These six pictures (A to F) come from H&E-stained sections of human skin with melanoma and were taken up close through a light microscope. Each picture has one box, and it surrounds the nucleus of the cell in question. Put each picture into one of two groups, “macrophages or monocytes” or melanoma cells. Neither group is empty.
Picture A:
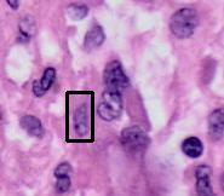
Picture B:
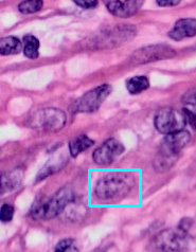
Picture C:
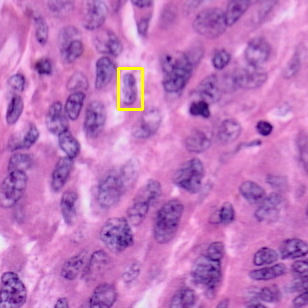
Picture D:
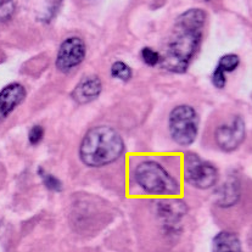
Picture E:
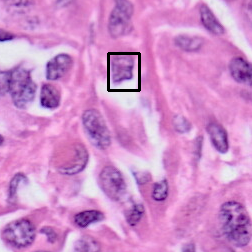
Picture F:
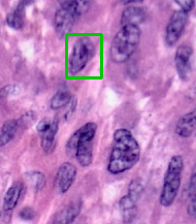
A: macrophage or monocyte
B: melanoma cell
C: macrophage or monocyte
D: melanoma cell
E: melanoma cell
F: melanoma cell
